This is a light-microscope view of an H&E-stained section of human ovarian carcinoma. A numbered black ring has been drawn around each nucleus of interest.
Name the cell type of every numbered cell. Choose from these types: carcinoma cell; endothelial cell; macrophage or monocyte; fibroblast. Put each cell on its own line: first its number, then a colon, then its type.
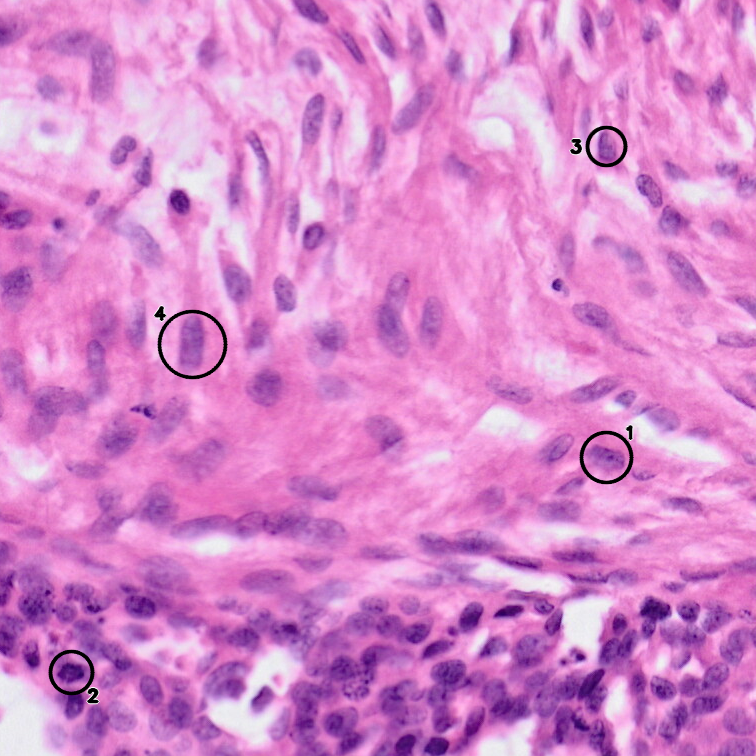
1: fibroblast
2: carcinoma cell
3: fibroblast
4: fibroblast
